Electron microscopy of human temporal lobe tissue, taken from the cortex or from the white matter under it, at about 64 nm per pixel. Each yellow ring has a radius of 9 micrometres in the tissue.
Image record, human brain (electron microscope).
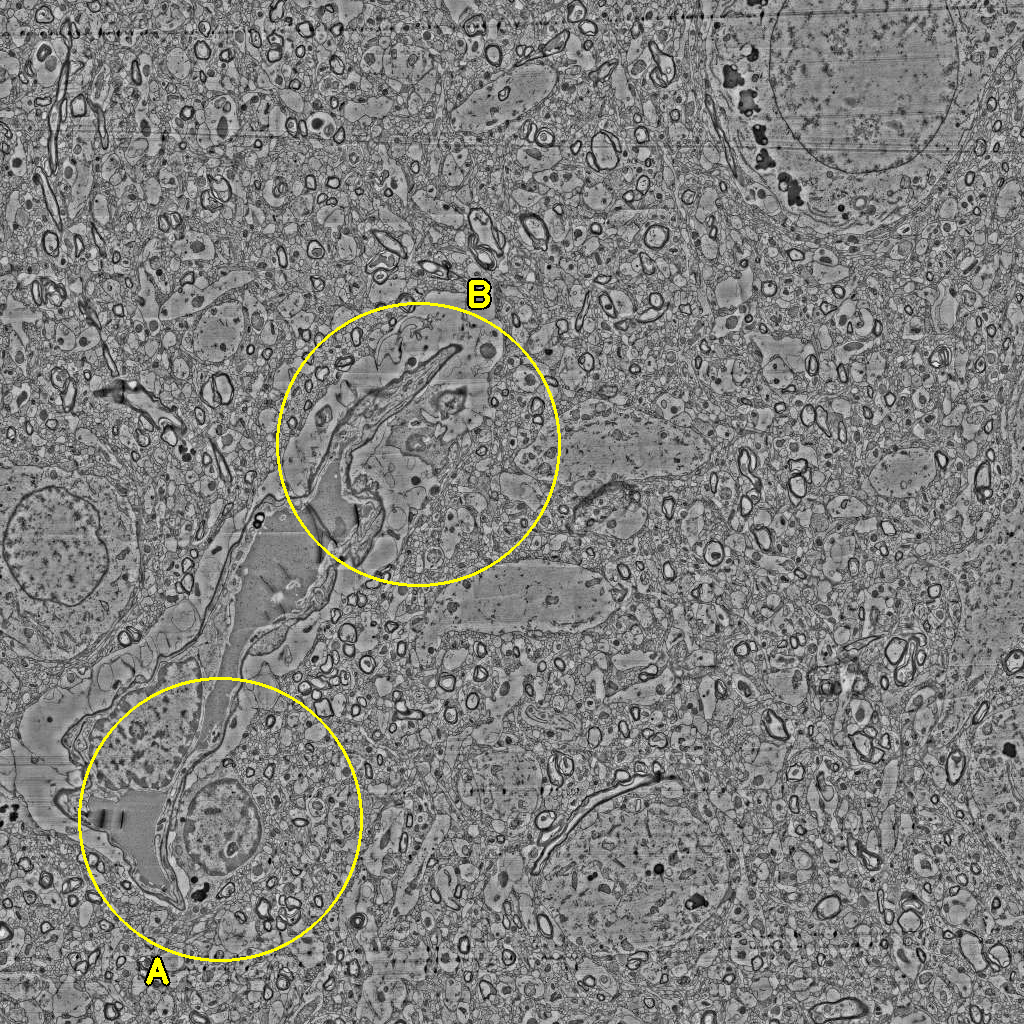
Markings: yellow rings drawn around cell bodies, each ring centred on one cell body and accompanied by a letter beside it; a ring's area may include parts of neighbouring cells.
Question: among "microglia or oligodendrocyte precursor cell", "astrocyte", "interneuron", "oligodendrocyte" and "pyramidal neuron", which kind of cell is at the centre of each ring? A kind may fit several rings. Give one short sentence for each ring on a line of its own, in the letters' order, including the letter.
Ring A is centred on the cell body of an oligodendrocyte.
Ring B is centred on the cell body of an oligodendrocyte.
